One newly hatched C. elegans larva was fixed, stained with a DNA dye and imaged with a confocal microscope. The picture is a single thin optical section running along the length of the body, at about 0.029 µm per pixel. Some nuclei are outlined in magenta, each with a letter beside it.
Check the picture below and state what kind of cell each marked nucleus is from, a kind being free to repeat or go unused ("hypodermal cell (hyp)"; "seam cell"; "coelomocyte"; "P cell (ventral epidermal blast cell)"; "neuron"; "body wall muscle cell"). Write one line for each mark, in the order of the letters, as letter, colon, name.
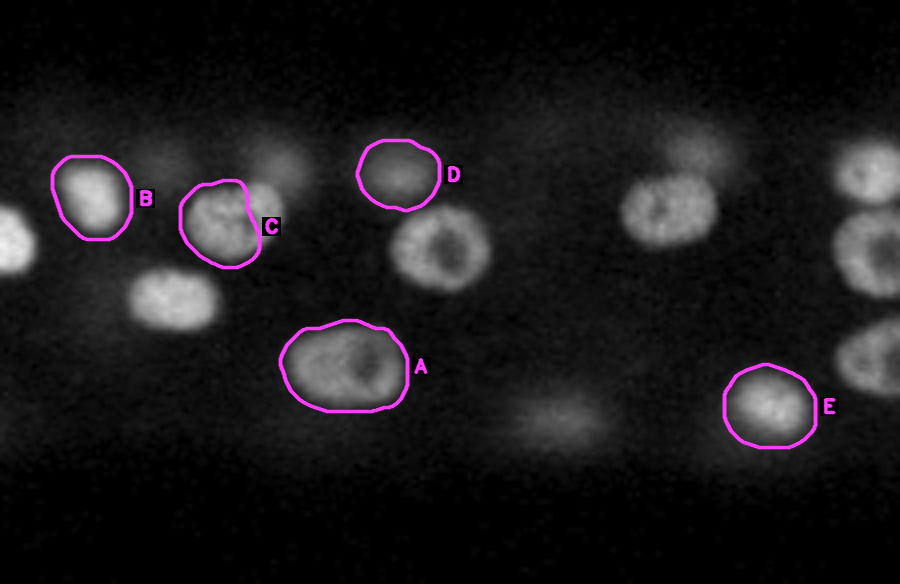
A: hypodermal cell (hyp)
B: coelomocyte
C: P cell (ventral epidermal blast cell)
D: body wall muscle cell
E: neuron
